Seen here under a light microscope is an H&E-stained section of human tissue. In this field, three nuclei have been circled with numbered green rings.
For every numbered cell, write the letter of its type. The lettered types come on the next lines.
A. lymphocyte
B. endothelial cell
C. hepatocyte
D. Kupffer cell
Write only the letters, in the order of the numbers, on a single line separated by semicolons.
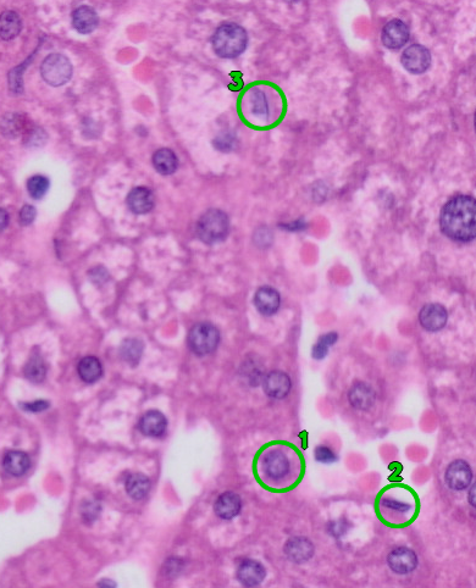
C; B; B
